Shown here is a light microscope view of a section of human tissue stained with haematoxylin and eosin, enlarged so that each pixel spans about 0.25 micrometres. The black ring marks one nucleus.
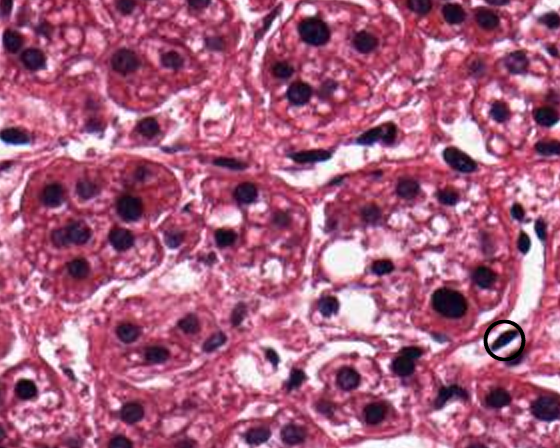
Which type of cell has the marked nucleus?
endothelial cell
